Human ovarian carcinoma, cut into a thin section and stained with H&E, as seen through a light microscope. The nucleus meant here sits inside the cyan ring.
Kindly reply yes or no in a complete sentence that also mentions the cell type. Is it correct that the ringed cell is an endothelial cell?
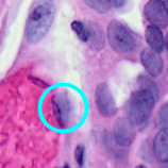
Yes, it is accurate to say that the ringed cell is an endothelial cell.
